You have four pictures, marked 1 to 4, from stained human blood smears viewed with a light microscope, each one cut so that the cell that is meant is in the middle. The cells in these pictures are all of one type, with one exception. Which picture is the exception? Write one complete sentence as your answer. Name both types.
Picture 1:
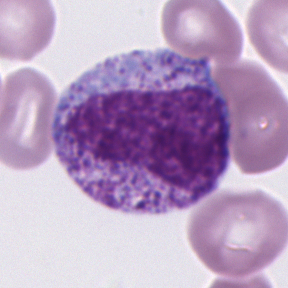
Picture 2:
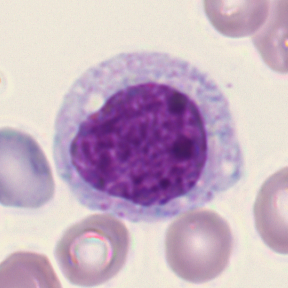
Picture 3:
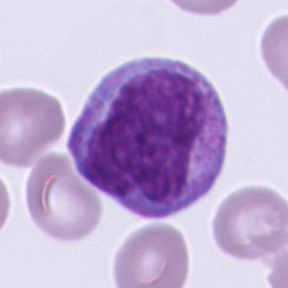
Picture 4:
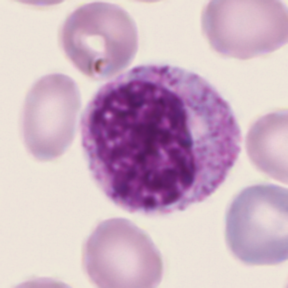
Picture 3 is the odd one out: it shows an atypical promyelocyte, while the others show myelocytes.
